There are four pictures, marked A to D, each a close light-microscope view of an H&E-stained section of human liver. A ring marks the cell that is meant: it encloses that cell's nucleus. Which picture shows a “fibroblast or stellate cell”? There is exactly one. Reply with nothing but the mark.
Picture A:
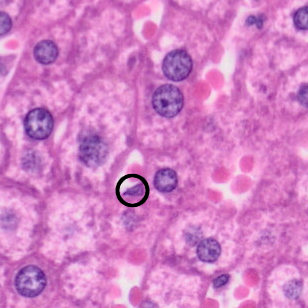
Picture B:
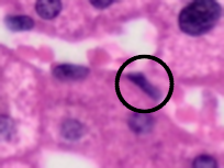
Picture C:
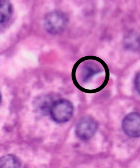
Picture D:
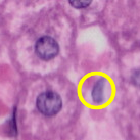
B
